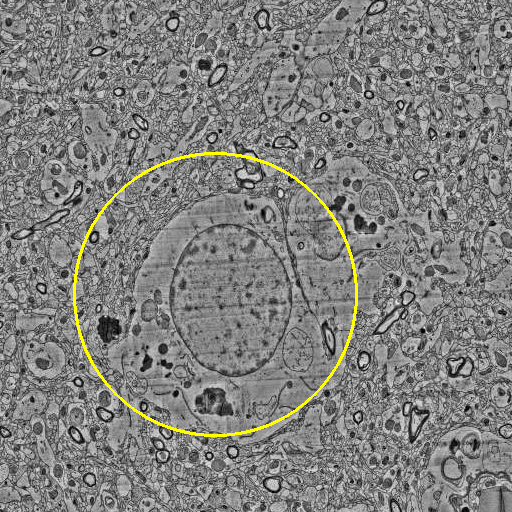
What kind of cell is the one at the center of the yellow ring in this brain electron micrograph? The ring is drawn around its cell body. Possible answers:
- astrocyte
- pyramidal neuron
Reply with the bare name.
astrocyte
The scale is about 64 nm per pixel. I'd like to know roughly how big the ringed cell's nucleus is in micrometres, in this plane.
The ringed cell's nucleus measures approximately 10 by 8 micrometres in this plane.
